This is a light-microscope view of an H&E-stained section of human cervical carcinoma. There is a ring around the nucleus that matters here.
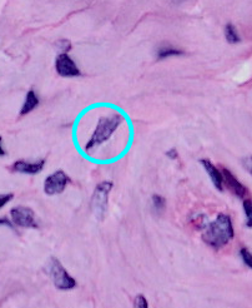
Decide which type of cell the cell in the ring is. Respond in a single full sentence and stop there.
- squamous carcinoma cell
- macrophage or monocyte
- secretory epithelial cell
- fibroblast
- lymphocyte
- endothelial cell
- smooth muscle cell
In this section of tissue, the cell in the ring is a fibroblast.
